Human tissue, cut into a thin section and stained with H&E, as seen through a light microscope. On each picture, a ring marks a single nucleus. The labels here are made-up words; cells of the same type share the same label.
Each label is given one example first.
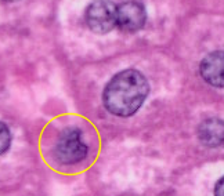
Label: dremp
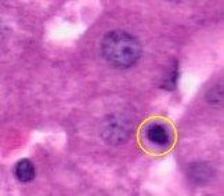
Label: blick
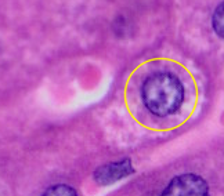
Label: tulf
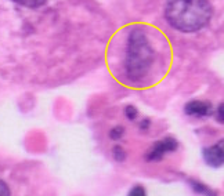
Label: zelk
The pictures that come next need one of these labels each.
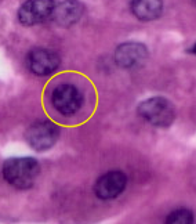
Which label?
tulf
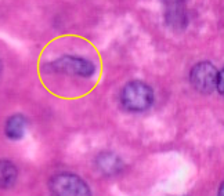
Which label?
zelk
